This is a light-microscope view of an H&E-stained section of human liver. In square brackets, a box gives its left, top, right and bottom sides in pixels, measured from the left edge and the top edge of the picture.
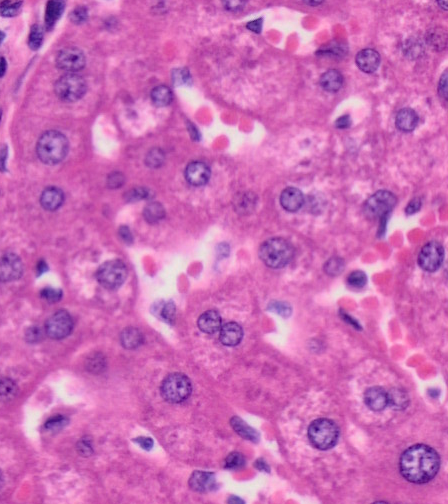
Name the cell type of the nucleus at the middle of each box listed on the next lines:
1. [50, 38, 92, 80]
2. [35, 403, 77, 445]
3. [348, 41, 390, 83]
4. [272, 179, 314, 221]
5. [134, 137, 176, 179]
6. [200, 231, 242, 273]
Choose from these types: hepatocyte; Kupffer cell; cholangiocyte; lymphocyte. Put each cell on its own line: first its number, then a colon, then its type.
1: hepatocyte
2: Kupffer cell
3: hepatocyte
4: hepatocyte
5: hepatocyte
6: Kupffer cell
